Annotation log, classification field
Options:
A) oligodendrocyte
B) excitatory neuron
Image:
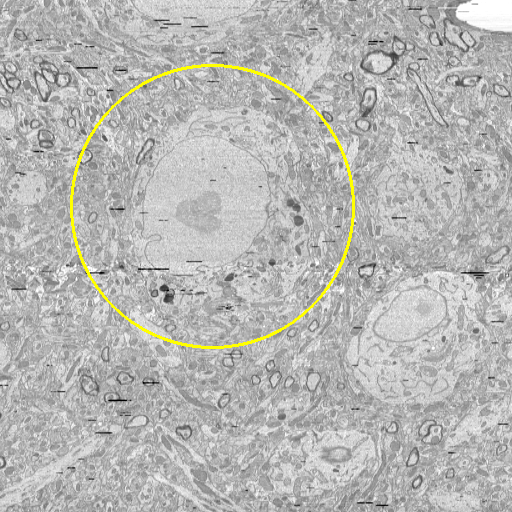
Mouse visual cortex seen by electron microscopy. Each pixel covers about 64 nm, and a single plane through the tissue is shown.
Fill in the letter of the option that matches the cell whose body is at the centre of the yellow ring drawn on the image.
B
